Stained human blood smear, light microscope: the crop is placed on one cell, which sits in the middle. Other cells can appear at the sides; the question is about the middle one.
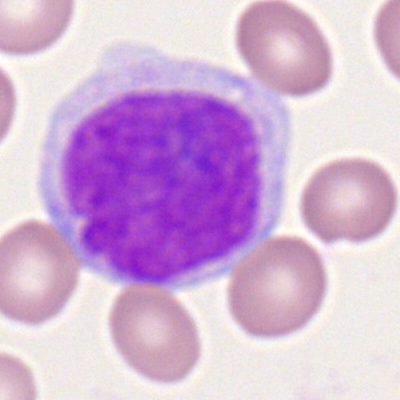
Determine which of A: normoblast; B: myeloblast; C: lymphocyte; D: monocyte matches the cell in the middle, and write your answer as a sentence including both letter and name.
Since the cell in the middle is a myeloblast, option B is correct.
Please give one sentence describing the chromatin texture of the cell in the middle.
Chromatin in the nucleus here is coarsely clumped.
